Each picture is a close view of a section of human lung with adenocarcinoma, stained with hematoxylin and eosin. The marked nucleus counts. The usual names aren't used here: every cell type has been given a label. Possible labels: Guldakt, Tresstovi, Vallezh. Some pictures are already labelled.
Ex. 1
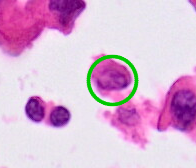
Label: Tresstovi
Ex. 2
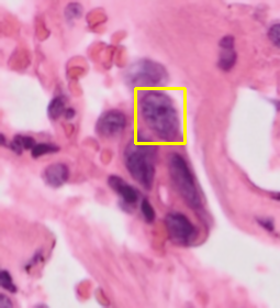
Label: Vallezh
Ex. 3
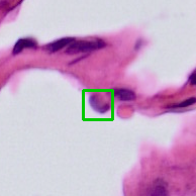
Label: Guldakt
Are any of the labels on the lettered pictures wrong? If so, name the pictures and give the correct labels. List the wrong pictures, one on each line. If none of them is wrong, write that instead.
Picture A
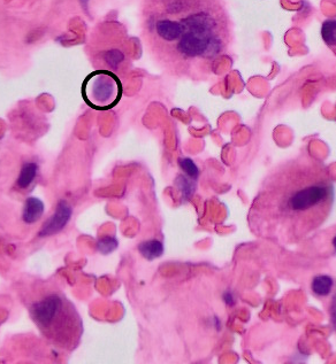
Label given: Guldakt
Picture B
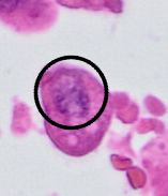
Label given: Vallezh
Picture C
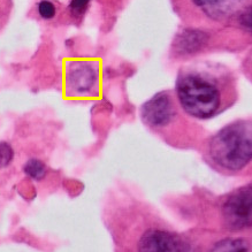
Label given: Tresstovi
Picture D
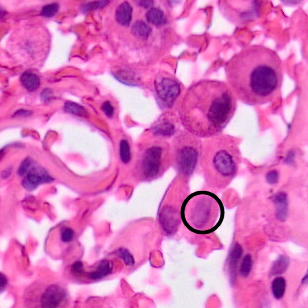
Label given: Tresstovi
Nothing to fix; every label fits.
